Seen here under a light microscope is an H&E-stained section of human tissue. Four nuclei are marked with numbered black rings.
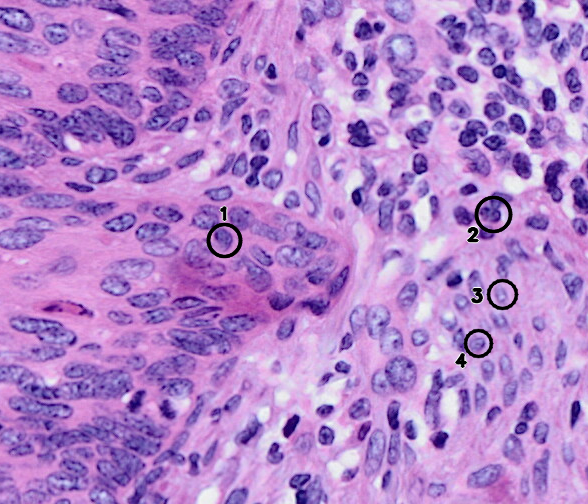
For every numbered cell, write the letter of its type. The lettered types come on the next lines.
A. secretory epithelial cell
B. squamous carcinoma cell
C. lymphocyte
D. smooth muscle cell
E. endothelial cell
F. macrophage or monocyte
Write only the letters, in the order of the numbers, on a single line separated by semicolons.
B; C; D; D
